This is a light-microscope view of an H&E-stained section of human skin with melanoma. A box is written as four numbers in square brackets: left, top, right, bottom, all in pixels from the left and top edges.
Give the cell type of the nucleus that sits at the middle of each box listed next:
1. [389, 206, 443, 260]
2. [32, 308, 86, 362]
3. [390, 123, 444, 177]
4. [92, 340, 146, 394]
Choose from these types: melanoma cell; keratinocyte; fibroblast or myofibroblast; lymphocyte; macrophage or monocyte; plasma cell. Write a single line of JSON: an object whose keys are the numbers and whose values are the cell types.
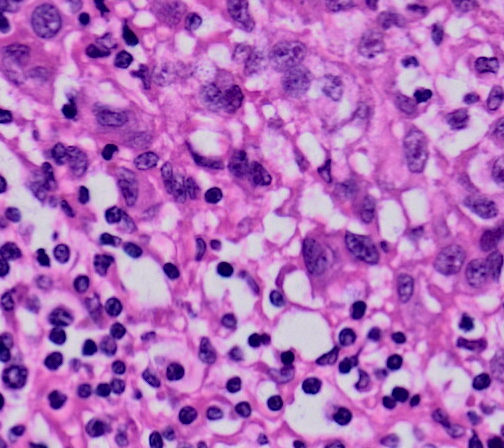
{"1": "melanoma cell", "2": "lymphocyte", "3": "melanoma cell", "4": "lymphocyte"}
